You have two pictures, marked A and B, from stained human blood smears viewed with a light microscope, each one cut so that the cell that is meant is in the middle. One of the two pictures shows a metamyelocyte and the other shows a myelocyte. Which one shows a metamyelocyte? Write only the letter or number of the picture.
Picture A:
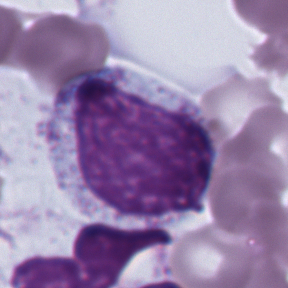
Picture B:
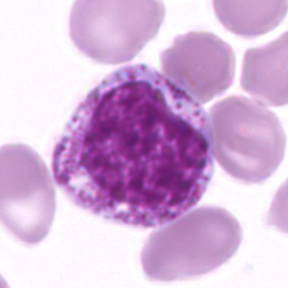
B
